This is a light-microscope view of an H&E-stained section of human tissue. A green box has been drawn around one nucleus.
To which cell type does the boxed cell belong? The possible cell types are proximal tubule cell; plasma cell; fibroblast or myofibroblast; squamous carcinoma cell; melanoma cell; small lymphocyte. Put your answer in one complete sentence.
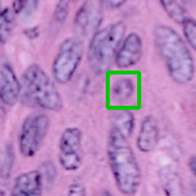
The boxed cell appears to be a squamous carcinoma cell.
